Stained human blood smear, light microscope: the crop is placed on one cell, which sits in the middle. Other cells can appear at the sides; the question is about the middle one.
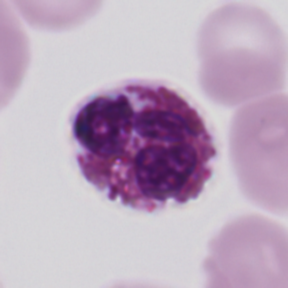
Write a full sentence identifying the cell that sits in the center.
Positioned in the middle of the crop is an eosinophil.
